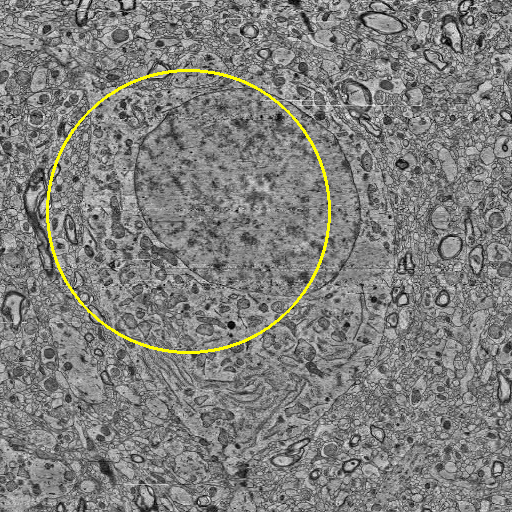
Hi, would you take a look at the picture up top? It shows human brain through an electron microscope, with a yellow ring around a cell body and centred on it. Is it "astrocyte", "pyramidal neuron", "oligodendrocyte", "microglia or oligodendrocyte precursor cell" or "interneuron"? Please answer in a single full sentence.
The best fit for the cell in the middle of the ring is an interneuron, I reckon.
